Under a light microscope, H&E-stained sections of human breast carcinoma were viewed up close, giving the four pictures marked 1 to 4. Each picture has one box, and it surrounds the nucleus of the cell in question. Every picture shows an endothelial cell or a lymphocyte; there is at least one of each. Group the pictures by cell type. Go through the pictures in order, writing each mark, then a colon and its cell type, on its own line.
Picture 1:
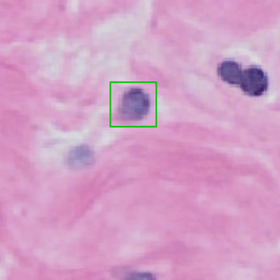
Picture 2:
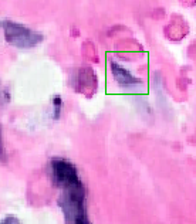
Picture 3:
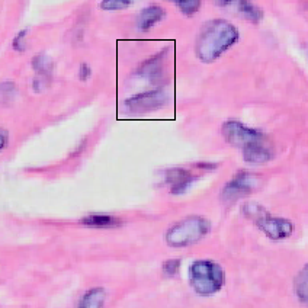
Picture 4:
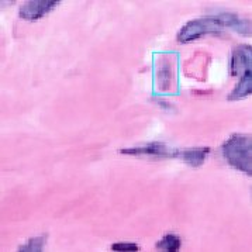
1: lymphocyte
2: endothelial cell
3: endothelial cell
4: endothelial cell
